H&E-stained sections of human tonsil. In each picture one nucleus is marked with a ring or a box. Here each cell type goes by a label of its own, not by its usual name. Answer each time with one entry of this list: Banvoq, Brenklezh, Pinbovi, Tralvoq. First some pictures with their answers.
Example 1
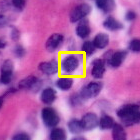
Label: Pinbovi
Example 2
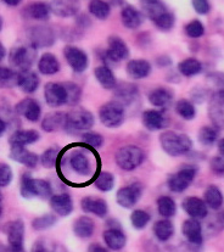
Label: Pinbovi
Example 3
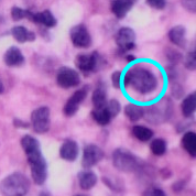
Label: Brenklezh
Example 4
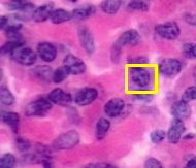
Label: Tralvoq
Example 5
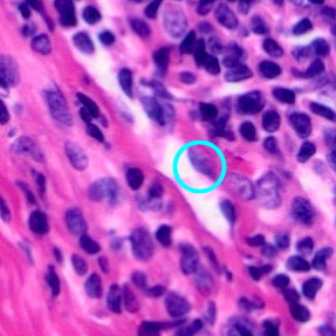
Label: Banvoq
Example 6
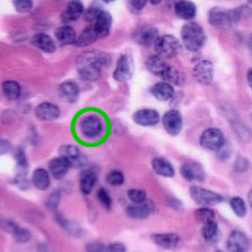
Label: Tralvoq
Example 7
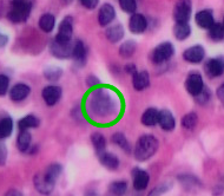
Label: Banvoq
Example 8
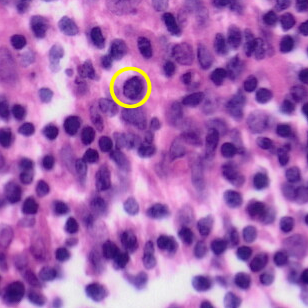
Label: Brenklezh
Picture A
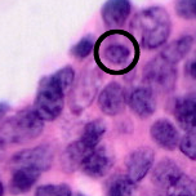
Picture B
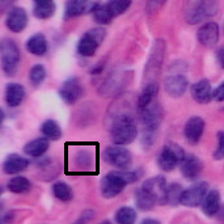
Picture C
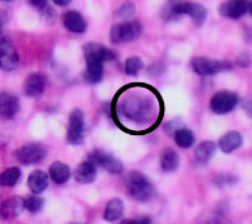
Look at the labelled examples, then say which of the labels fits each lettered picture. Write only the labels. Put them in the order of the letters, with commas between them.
Brenklezh, Banvoq, Brenklezh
